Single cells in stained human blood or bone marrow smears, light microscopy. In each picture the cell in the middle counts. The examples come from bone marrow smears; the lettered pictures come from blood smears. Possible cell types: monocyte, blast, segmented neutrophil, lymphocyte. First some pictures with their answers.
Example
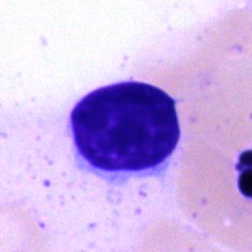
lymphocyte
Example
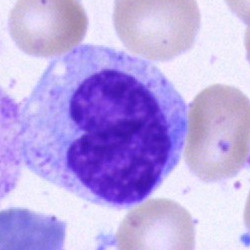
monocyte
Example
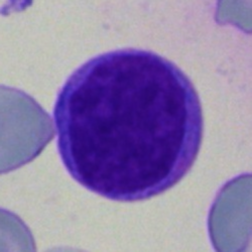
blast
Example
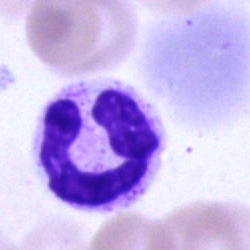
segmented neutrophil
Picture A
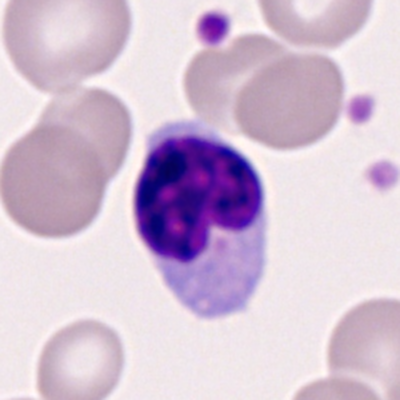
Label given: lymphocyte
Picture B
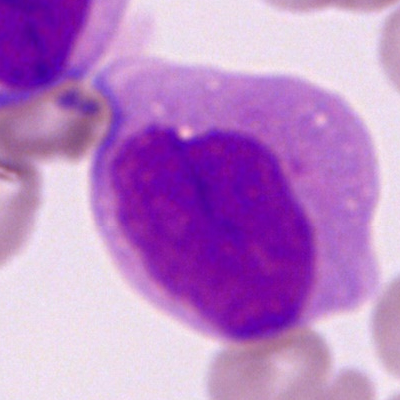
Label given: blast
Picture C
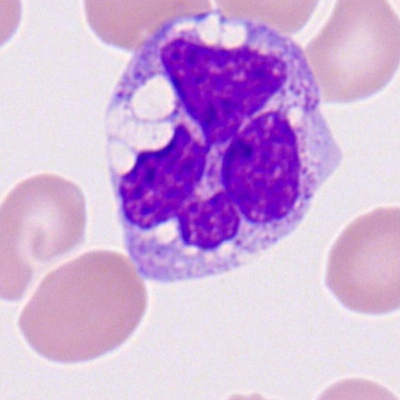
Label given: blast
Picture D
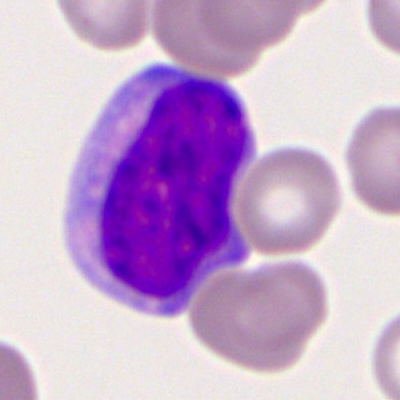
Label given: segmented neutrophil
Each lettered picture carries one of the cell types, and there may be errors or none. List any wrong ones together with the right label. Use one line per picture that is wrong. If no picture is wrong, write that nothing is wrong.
C is labelled blast; correct label: monocyte
D is labelled segmented neutrophil; correct label: blast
